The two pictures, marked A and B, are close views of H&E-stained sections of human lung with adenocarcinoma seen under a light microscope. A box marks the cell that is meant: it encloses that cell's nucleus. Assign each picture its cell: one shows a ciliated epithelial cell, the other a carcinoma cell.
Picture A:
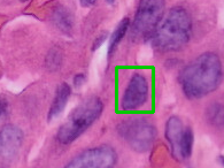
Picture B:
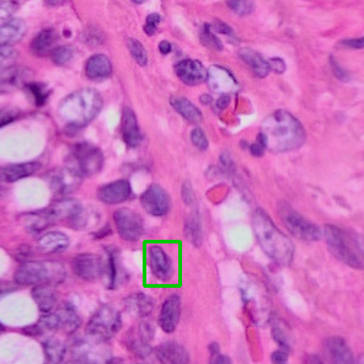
A: carcinoma cell
B: ciliated epithelial cell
